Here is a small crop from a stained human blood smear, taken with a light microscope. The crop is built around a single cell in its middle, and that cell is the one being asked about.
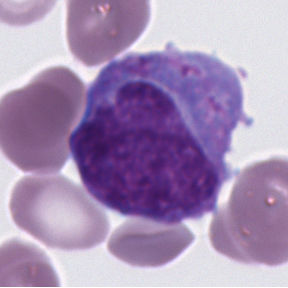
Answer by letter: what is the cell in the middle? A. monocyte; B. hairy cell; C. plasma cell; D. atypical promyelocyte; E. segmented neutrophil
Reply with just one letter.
D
